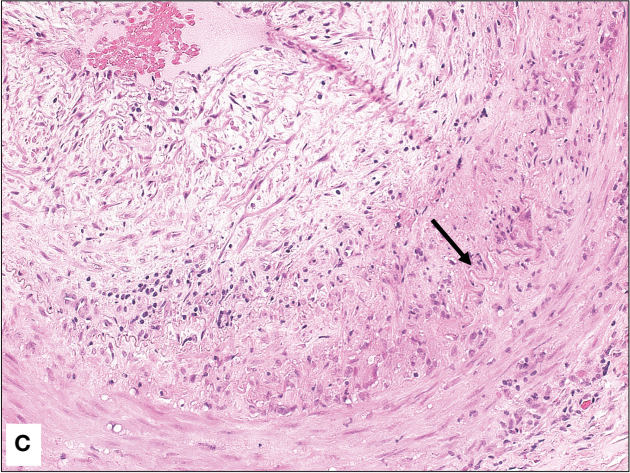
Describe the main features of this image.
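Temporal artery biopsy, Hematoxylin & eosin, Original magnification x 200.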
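At upper left lies a small lumen with red blood cells. Below it the inner layer is thickened and loose, with pale pink fibrous stroma containing scattered spindle-shaped cells and small round inflammatory nuclei. Toward the outer edge of this layer, inflammatory cells gather and a few large pink cells with several nuclei are present. A curved band of denser pink, more orderly smooth muscle tissue forms the outer wall at the bottom and right, and the boundary between the layers is irregular.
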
